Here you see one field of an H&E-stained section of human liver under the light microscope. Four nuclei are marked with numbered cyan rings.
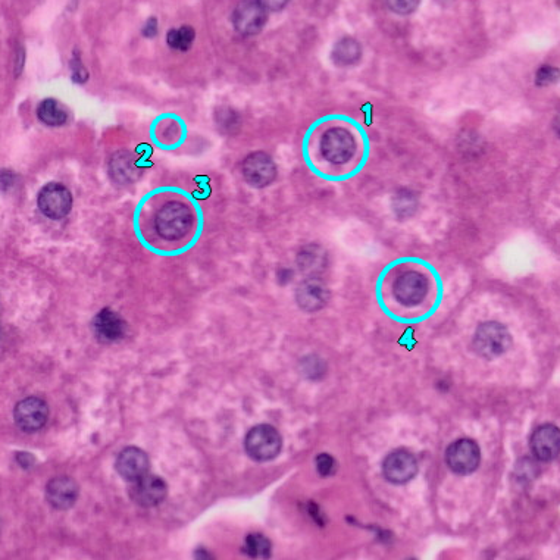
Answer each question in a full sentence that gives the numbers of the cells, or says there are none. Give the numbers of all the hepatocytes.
The cells that the numbers 1, 3 and 4 belong to are hepatocytes.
